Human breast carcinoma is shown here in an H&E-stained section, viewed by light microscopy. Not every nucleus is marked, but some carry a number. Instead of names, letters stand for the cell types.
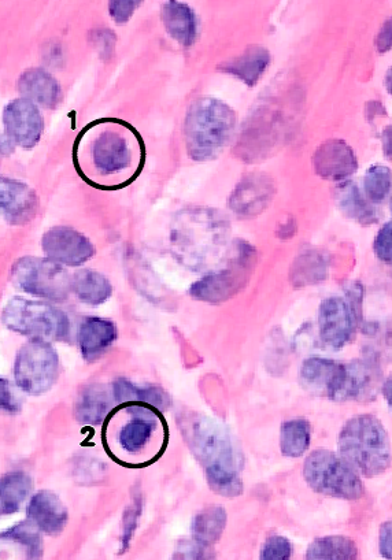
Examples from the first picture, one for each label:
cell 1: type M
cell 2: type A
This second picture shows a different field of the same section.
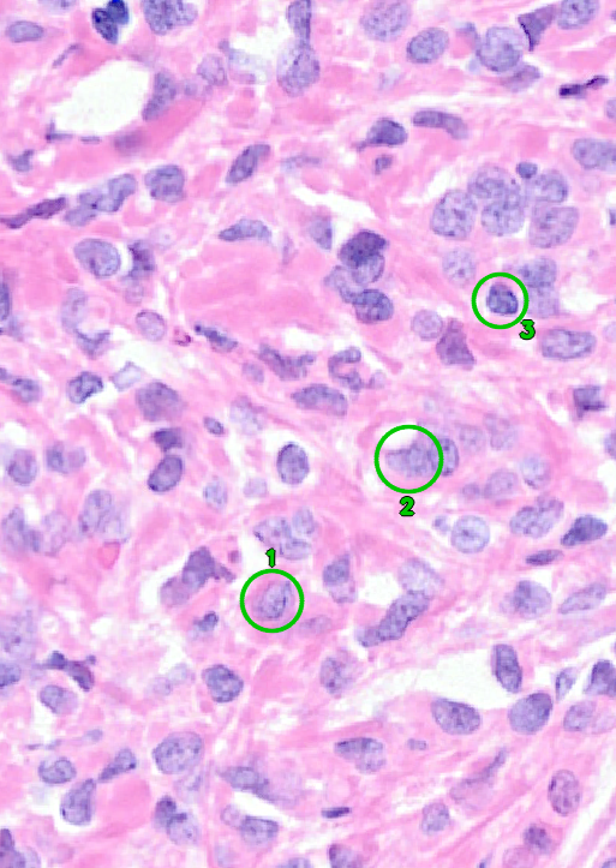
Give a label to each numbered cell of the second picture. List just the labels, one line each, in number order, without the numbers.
type M
type M
type A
